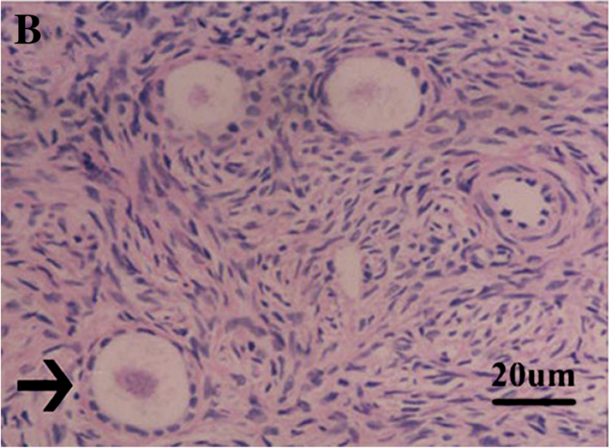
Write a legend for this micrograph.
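Ovarian tissue with follicles set in a cellular stroma. The stroma is dense, made of spindle-shaped cells with elongated dark nuclei running in wavy, whorled bundles. Scattered through it are several round follicles, each holding a single large oocyte with pale pink cytoplasm and a central purple-stained area. Each oocyte is ringed by one layer of small cells with dark nuclei, and the follicles are set off from the surrounding stroma by a thin band of flattened cells. One rounded structure at the right has a small central space and concentric layers of cells.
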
